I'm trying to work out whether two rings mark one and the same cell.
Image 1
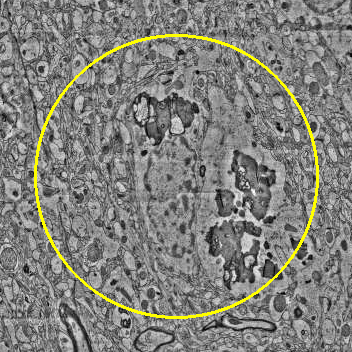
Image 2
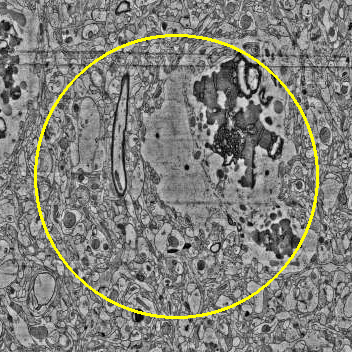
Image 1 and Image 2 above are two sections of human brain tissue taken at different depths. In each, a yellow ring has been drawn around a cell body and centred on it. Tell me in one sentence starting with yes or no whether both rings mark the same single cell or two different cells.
No, the two rings refer to two distinct cells.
